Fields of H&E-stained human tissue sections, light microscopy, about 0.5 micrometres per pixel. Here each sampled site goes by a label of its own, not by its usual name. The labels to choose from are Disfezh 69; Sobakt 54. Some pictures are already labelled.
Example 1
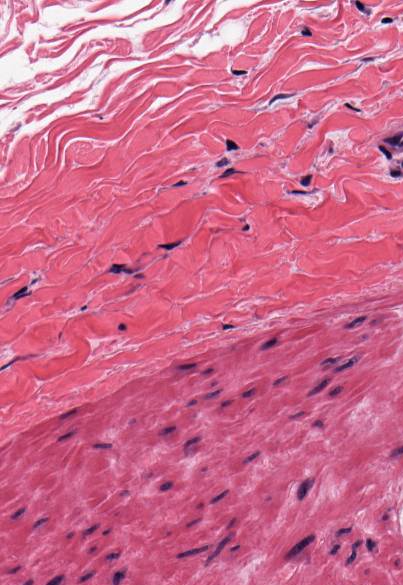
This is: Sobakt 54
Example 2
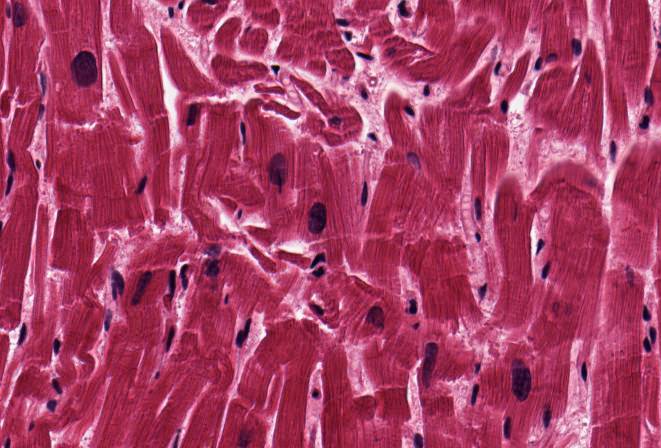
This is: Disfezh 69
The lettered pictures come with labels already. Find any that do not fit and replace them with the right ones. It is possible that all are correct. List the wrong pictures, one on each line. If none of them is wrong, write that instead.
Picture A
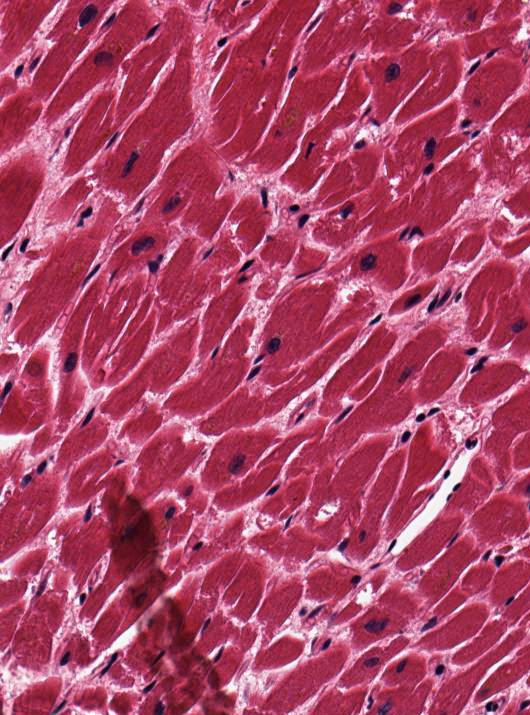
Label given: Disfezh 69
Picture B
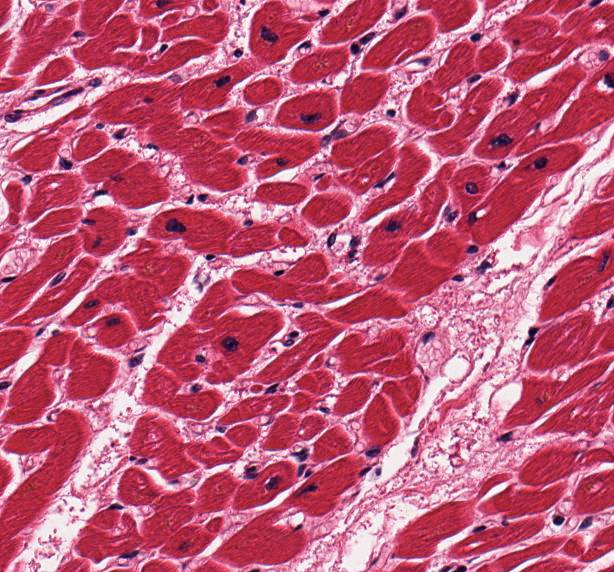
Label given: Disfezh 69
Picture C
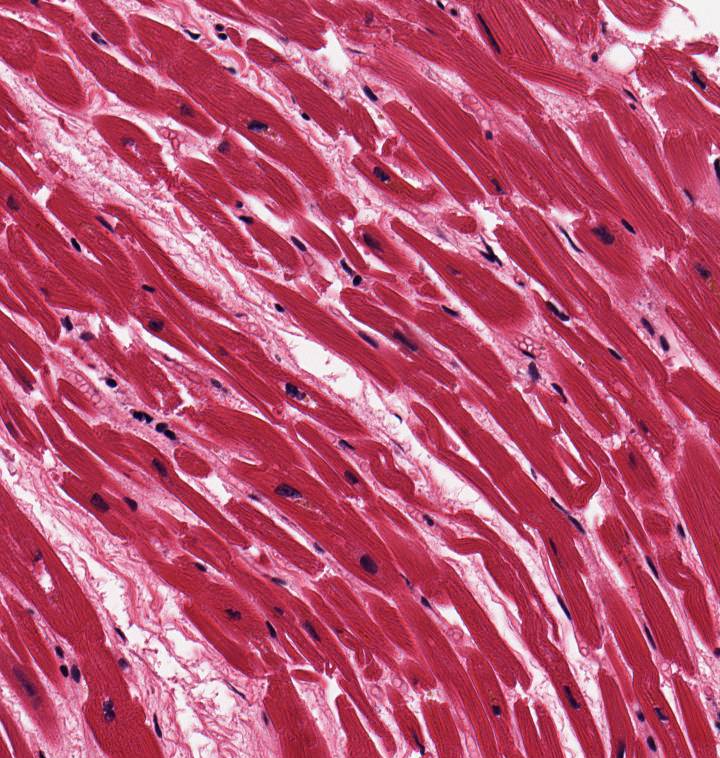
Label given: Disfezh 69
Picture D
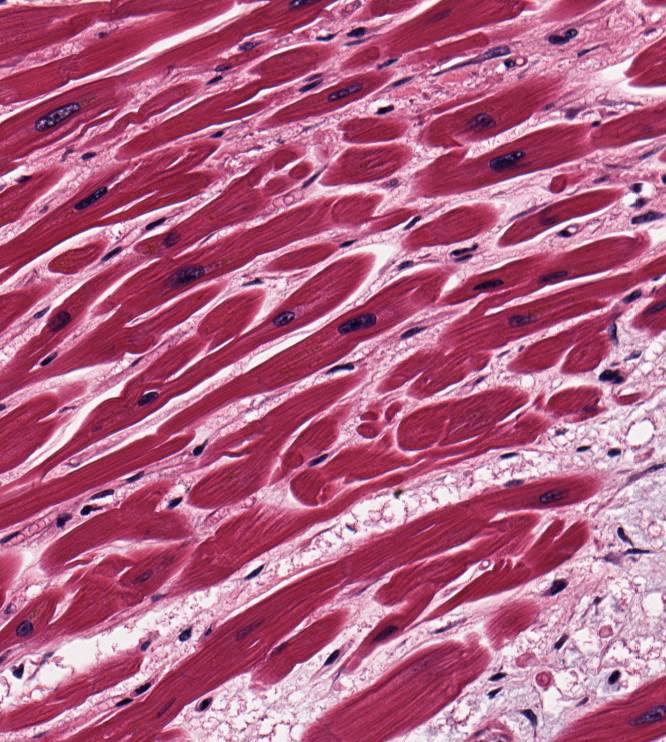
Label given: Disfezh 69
No label is wrong.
